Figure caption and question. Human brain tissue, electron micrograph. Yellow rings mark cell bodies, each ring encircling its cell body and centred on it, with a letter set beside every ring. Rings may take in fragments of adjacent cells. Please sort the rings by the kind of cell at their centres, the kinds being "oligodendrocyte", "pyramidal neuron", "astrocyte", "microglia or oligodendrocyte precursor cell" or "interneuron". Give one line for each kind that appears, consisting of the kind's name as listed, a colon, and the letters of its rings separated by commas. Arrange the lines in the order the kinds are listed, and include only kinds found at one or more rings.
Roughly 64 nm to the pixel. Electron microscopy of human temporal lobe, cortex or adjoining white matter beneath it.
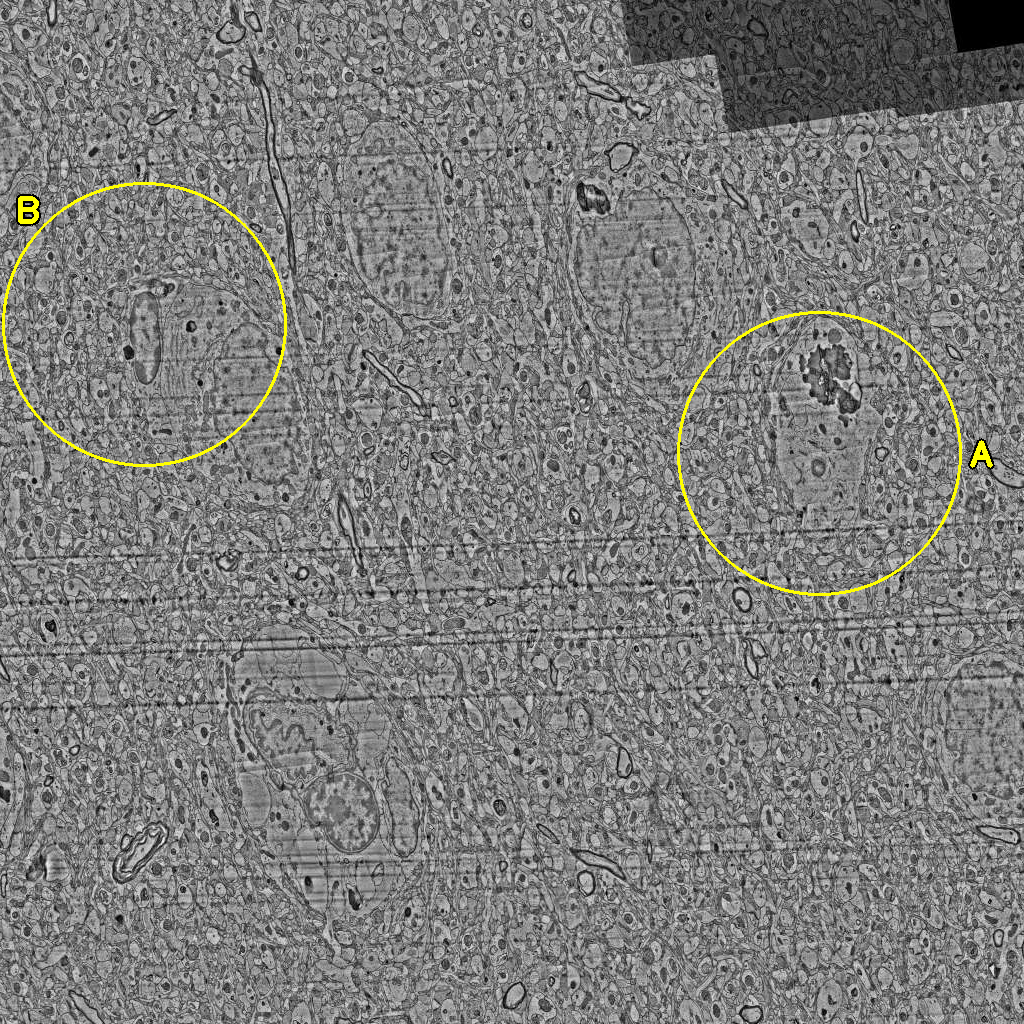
astrocyte: A
microglia or oligodendrocyte precursor cell: B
